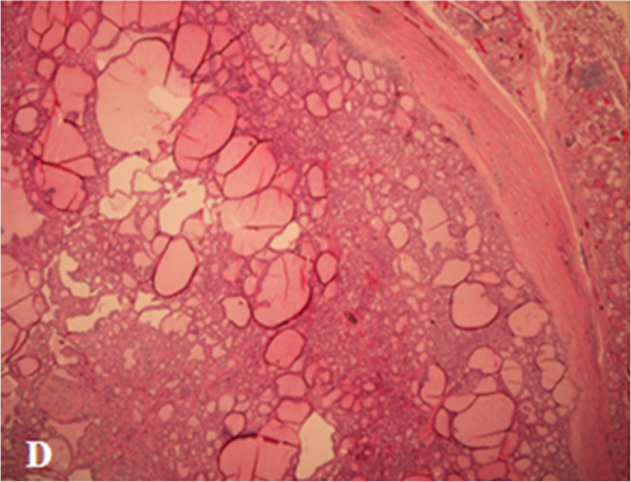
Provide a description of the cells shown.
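Encapsulated thyroid follicular lesion at low power. Follicles of widely varying size fill most of the field: large rounded follicles distended with pale pink colloid, many showing cracking and scalloping of the colloid, alongside crowded small follicles in more cellular purple zones. Follicle linings are thin and flat to low. No papillary fronds are present. Along the right side a broad band of dense pale pink fibrous tissue curves around the lesion, forming a thick capsule that separates the follicular proliferation from the tissue beyond, where a few small follicles and loose stroma are seen.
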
